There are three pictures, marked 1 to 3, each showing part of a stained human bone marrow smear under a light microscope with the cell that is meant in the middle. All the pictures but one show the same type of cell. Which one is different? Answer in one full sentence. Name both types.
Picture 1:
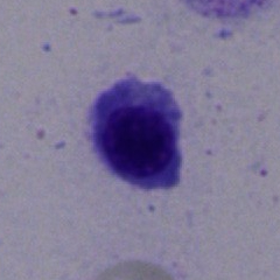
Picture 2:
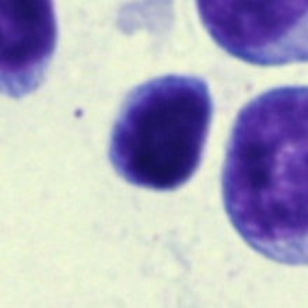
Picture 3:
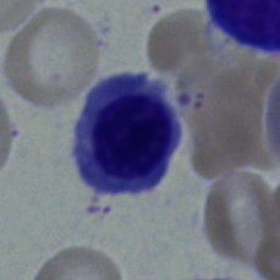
The different one is picture 2; it shows a lymphocyte, whereas all the others show erythroblasts.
